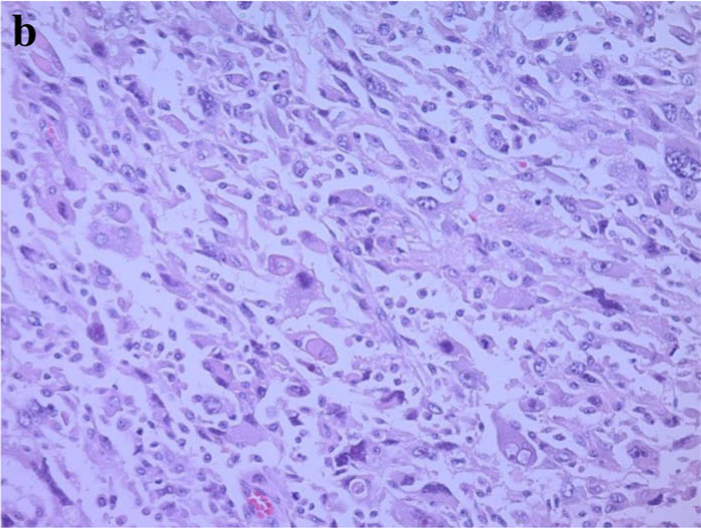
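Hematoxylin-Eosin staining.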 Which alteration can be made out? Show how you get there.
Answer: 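Cells range from slender spindles to large rounded forms. Some nuclei are much larger and darker than others. A few large cells hold more than one nucleus. That points to this answer: pleomorphism.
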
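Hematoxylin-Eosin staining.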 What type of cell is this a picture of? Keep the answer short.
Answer: spindle‑shaped cells with nuclear atypia and eosinophilic cytoplasm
